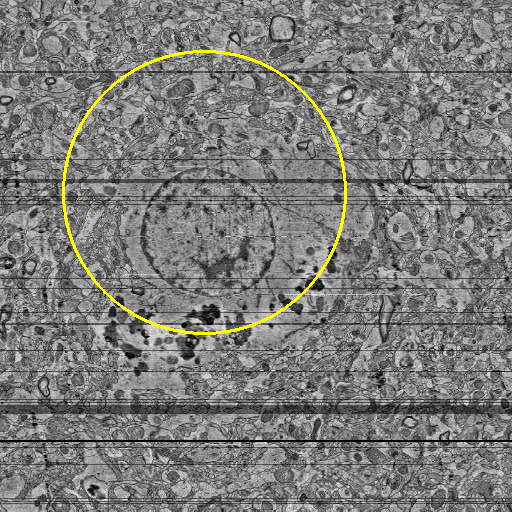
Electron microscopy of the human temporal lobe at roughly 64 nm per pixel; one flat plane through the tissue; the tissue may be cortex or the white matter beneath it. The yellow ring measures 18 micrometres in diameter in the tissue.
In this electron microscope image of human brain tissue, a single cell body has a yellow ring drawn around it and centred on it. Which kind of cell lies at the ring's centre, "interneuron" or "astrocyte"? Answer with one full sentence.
It is an astrocyte whose cell body lies at the centre of the yellow ring here.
